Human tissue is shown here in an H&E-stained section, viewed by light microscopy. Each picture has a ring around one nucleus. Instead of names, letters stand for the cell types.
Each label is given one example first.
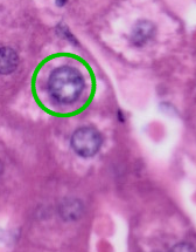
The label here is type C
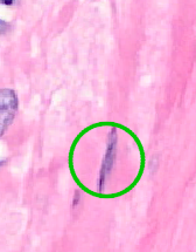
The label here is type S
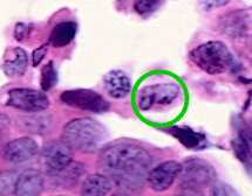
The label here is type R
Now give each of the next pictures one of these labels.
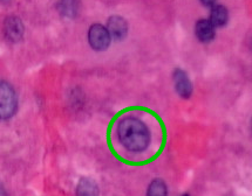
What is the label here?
type C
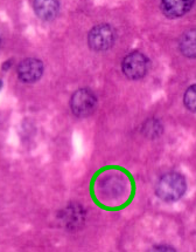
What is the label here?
type C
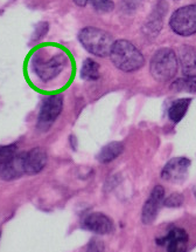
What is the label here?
type R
